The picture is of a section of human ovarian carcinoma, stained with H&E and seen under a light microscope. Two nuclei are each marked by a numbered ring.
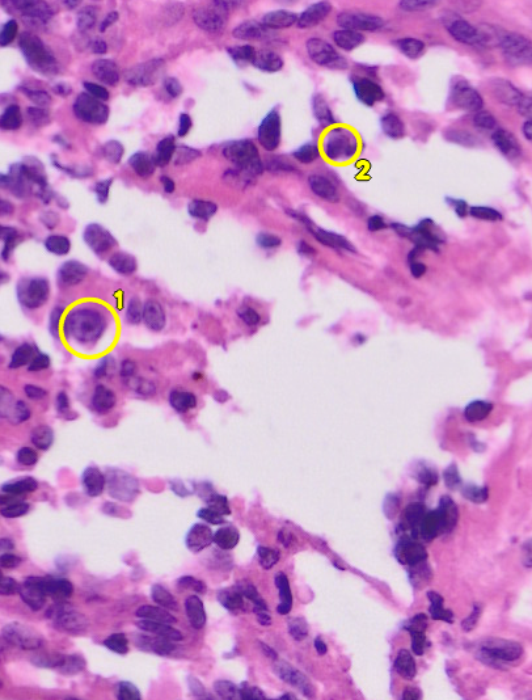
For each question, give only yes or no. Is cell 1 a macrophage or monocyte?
no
